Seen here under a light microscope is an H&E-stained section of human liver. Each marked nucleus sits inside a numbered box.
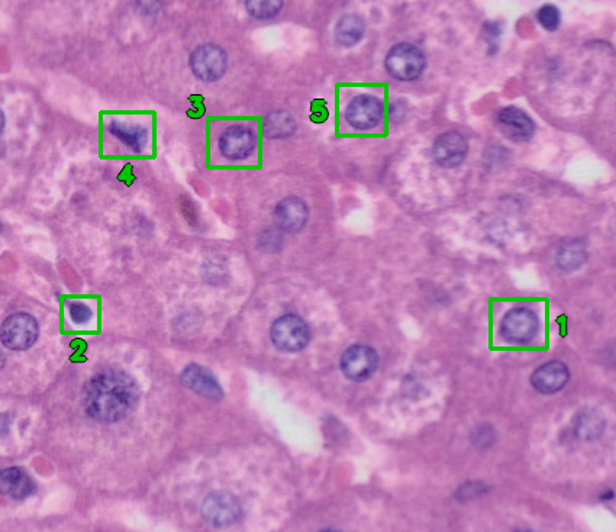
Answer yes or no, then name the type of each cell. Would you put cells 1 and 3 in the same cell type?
Yes, both are hepatocytes.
